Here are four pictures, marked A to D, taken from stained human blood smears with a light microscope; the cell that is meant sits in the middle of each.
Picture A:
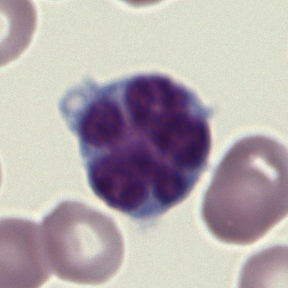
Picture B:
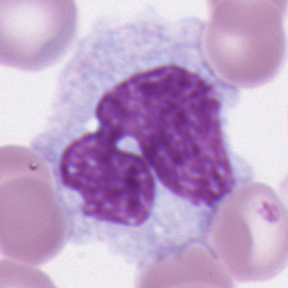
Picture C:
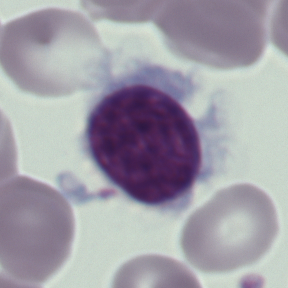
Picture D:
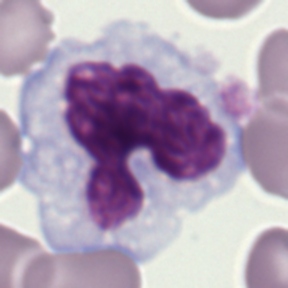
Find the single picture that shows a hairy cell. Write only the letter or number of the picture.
C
